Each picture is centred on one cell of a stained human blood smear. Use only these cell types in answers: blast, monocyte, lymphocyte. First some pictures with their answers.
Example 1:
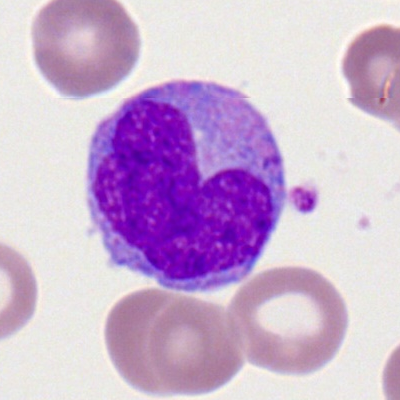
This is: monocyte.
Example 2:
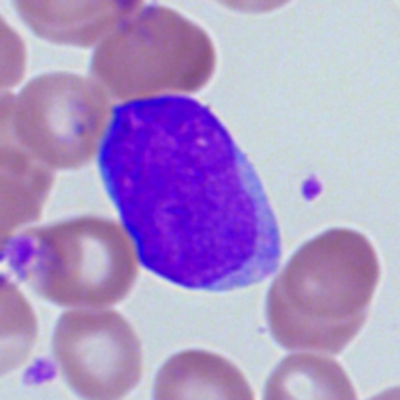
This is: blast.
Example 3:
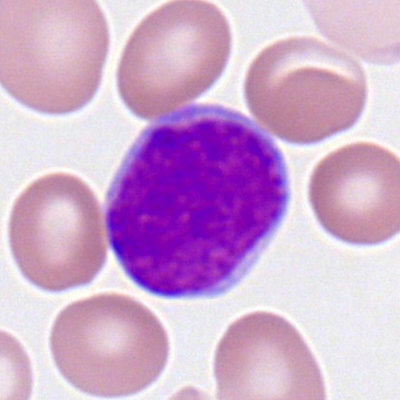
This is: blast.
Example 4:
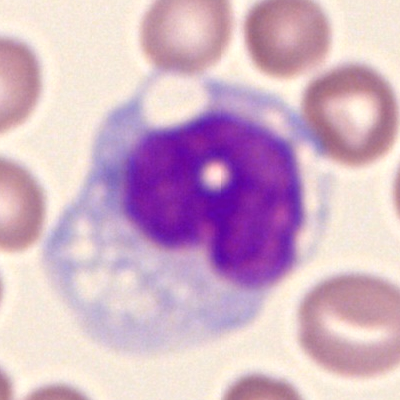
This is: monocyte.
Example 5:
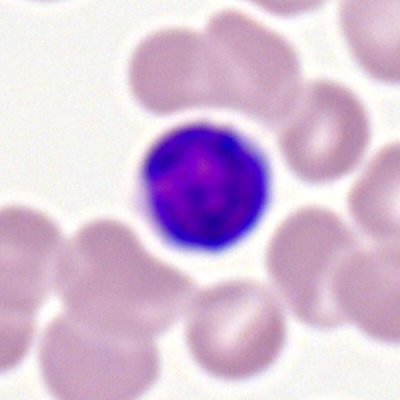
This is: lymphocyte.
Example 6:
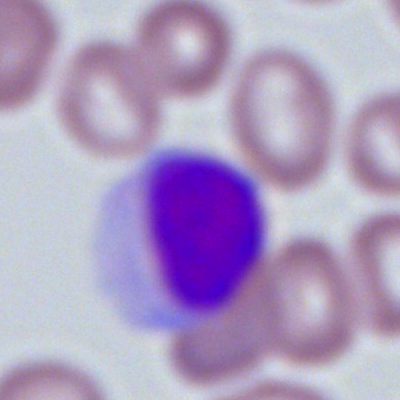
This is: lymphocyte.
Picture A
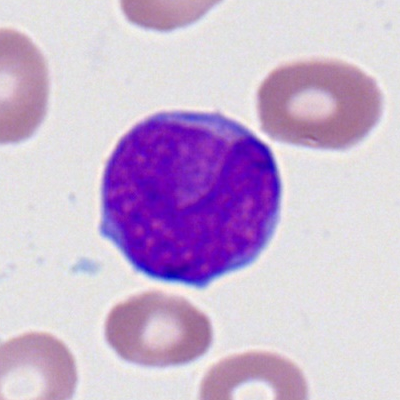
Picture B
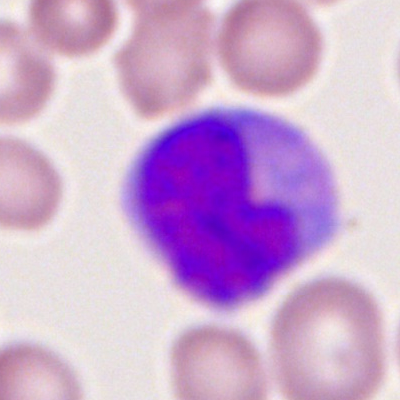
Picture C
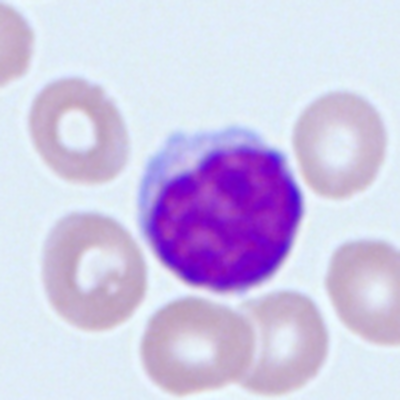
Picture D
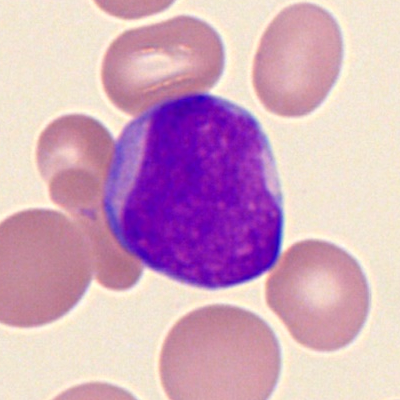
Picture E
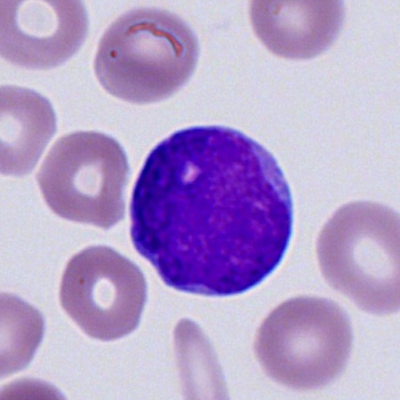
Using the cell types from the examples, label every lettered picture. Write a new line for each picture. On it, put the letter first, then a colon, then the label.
A: blast.
B: monocyte.
C: lymphocyte.
D: blast.
E: blast.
